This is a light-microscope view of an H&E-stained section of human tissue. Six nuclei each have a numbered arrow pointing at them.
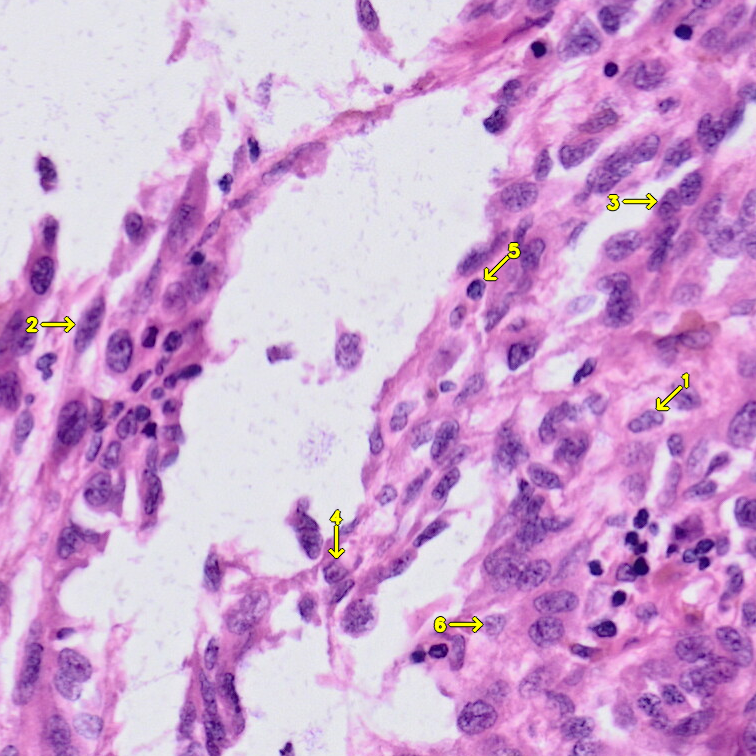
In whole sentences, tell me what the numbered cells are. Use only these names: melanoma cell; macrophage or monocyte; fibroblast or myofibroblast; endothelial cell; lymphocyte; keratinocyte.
Cell 1 is a macrophage or monocyte. Cells 2, 3, 4 and 6 are melanoma cells. Cell 5 is a lymphocyte.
